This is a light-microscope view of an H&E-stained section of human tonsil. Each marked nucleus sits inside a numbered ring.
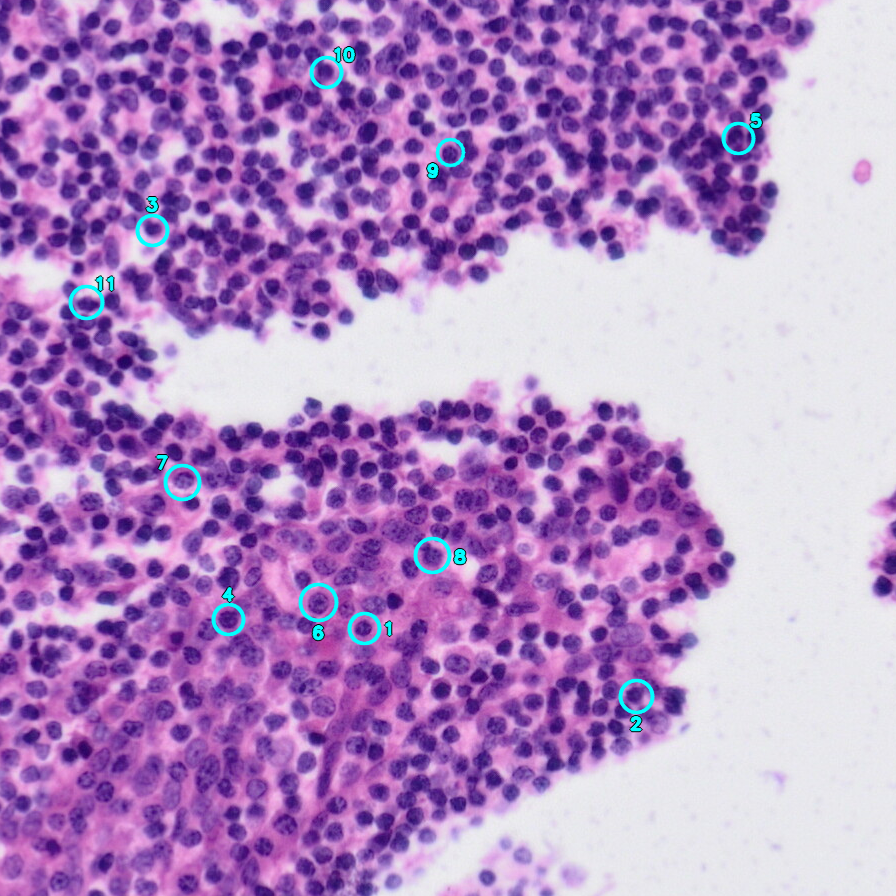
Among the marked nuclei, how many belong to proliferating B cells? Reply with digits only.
0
